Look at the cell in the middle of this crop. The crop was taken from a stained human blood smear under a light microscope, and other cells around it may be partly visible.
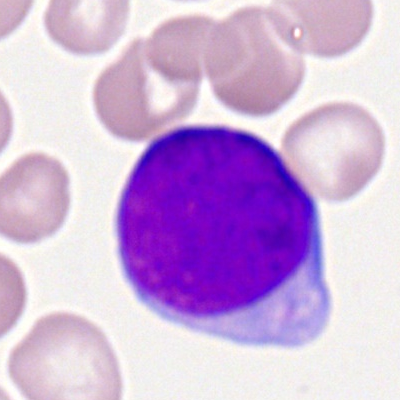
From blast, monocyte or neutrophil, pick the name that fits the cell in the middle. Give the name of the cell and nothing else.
blast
